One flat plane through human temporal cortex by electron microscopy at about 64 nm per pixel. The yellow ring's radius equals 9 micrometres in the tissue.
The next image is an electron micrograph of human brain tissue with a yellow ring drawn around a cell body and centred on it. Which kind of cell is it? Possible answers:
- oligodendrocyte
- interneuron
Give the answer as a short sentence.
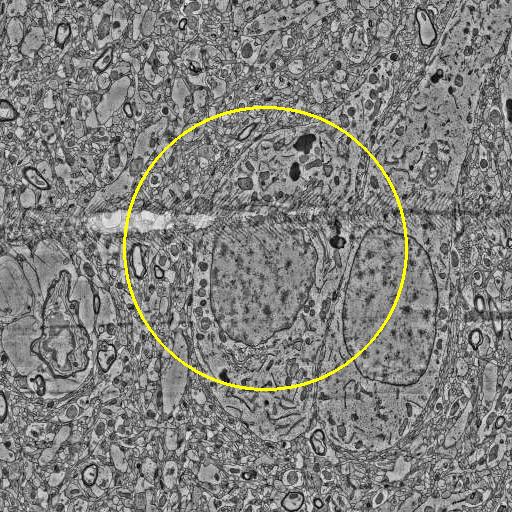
In the ring's centre is an interneuron.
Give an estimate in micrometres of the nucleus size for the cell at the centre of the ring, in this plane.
The ringed cell's nucleus is about 9 micrometres long and 7 micrometres wide in this plane.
